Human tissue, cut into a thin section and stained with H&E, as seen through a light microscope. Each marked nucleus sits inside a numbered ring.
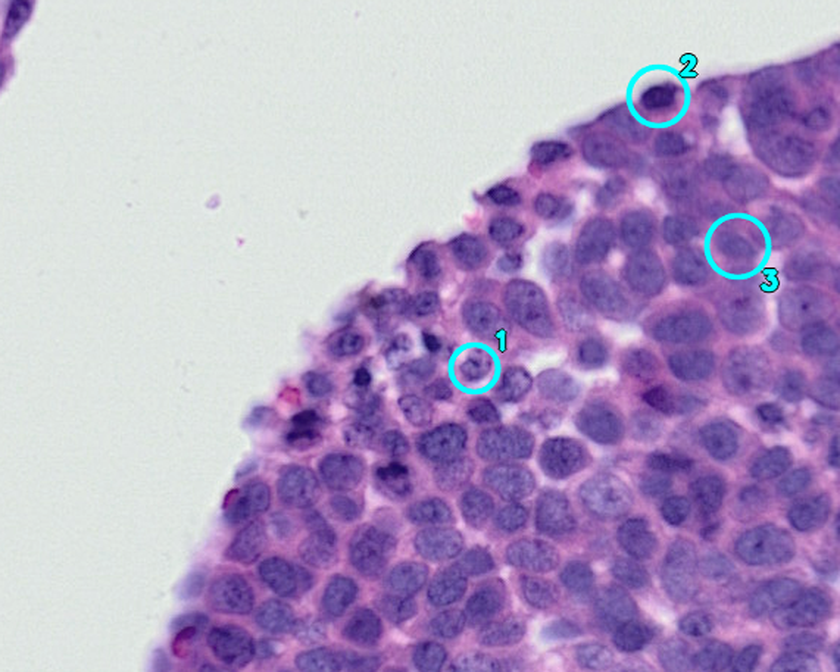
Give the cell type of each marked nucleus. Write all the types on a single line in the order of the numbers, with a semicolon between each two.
macrophage or monocyte; carcinoma cell; carcinoma cell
